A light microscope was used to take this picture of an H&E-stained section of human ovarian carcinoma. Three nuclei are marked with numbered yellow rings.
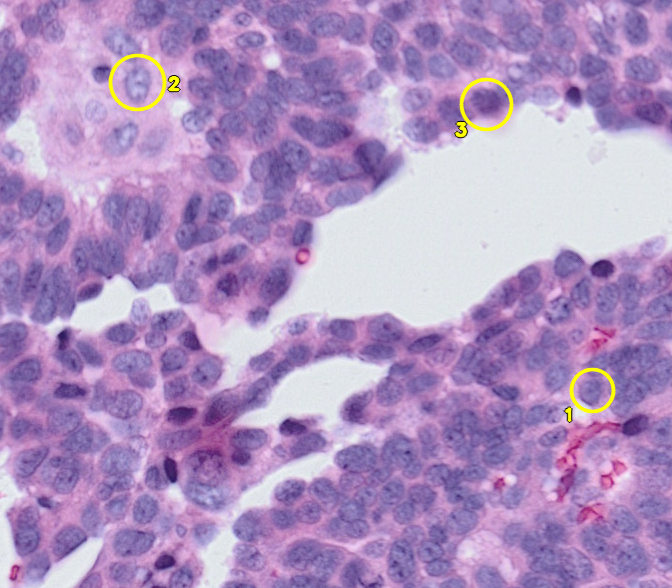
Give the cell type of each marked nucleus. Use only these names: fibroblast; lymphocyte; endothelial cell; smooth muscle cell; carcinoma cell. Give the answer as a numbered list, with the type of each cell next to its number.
1. carcinoma cell
2. fibroblast
3. carcinoma cell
